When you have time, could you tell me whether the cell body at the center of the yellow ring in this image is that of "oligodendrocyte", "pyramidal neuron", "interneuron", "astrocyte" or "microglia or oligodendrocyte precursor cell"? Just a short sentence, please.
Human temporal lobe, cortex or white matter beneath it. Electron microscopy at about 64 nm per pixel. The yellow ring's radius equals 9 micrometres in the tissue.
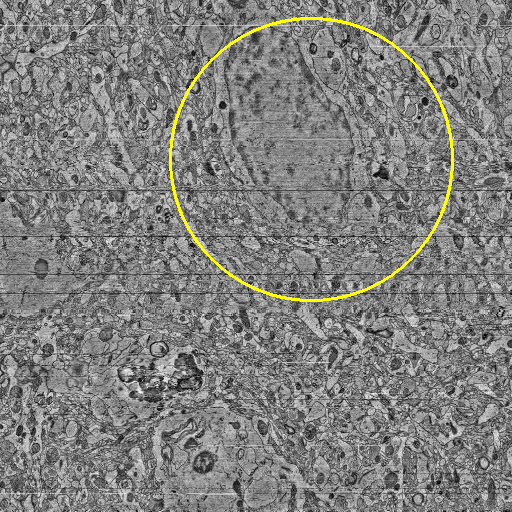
The cell body at the center of the ring is that of an interneuron.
